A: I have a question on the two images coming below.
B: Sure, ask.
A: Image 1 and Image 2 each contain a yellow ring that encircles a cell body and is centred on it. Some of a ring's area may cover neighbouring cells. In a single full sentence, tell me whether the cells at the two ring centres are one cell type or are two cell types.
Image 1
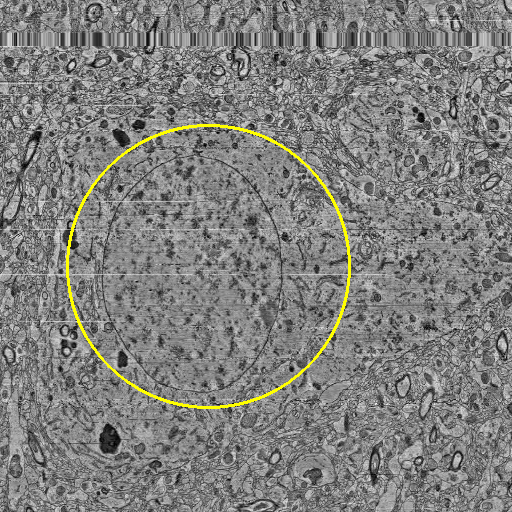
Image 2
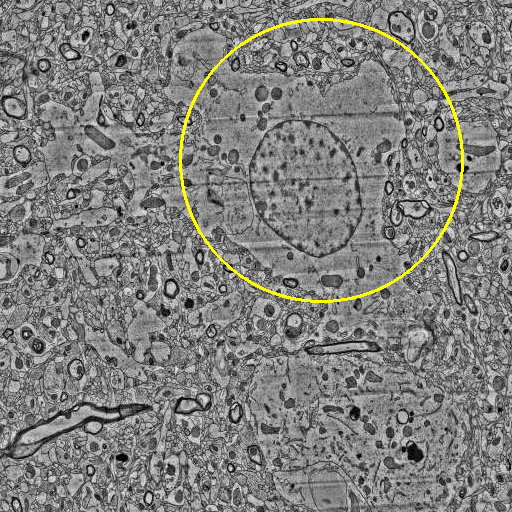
As for the ring-centre cells, the one in Image 1 and the one in Image 2 are two cell types.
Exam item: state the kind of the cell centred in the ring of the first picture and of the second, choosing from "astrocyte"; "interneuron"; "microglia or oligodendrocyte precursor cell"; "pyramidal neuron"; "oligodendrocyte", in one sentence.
The first picture shows a pyramidal neuron at the ring centre and the second shows an astrocyte.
